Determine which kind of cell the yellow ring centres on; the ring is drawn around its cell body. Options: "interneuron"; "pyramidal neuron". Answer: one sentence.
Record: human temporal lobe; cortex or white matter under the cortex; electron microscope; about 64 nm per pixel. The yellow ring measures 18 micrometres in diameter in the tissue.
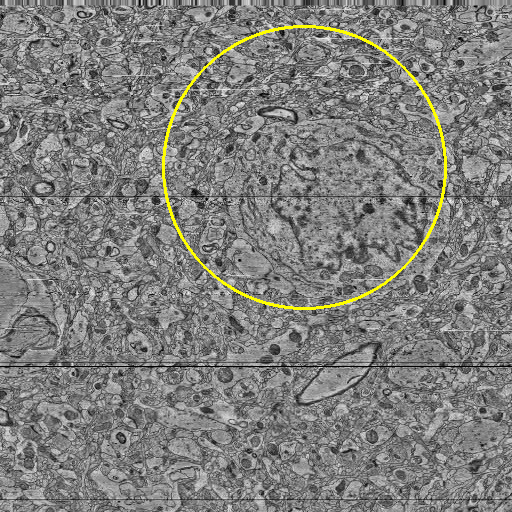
The ring centres on an interneuron.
